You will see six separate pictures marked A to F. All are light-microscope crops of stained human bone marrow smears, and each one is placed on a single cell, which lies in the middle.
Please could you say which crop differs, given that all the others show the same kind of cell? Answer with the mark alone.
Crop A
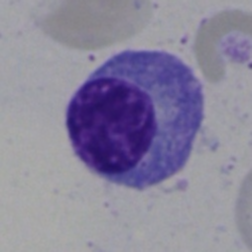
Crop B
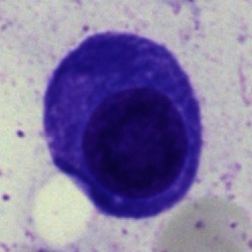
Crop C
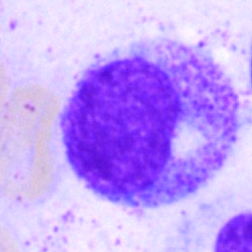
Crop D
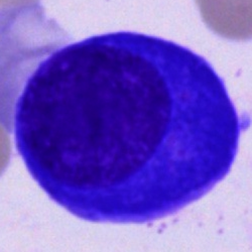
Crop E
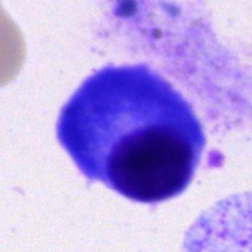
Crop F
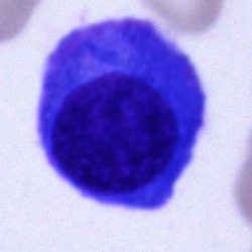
C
